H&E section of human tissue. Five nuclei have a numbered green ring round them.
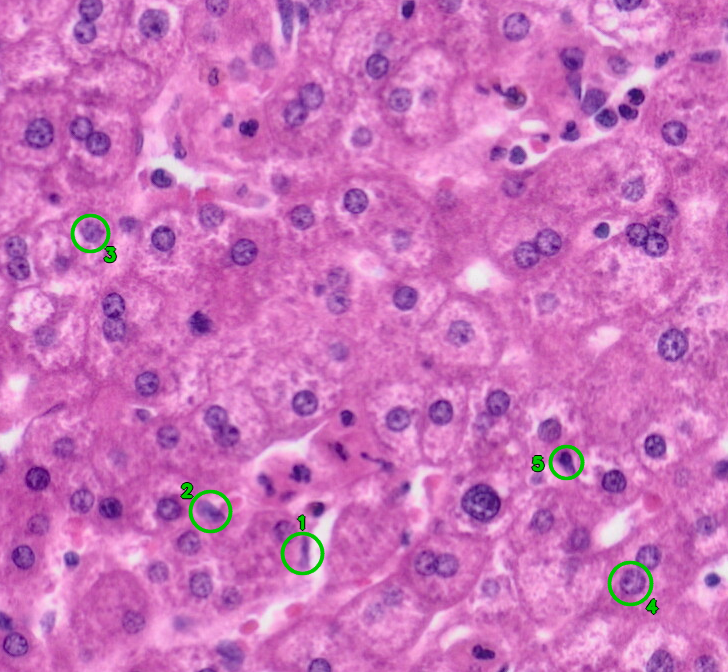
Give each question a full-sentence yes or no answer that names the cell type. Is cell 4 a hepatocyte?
Yes, the cell at the mark numbered 4 is a hepatocyte.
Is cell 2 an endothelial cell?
Yes, the cell that the number 2 labels is an endothelial cell.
